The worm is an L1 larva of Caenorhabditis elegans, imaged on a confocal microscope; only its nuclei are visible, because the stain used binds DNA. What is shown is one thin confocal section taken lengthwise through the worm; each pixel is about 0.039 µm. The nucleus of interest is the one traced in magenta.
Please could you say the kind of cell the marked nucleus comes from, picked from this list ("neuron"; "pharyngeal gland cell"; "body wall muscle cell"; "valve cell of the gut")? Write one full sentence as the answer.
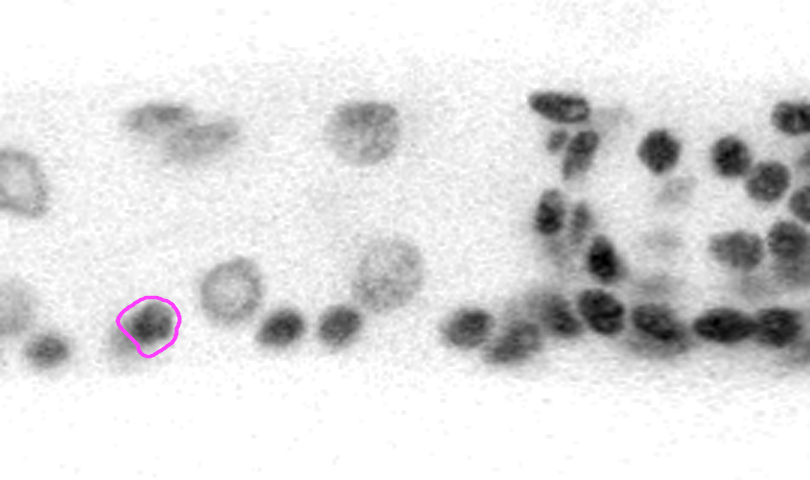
It is the nucleus of a body wall muscle cell.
